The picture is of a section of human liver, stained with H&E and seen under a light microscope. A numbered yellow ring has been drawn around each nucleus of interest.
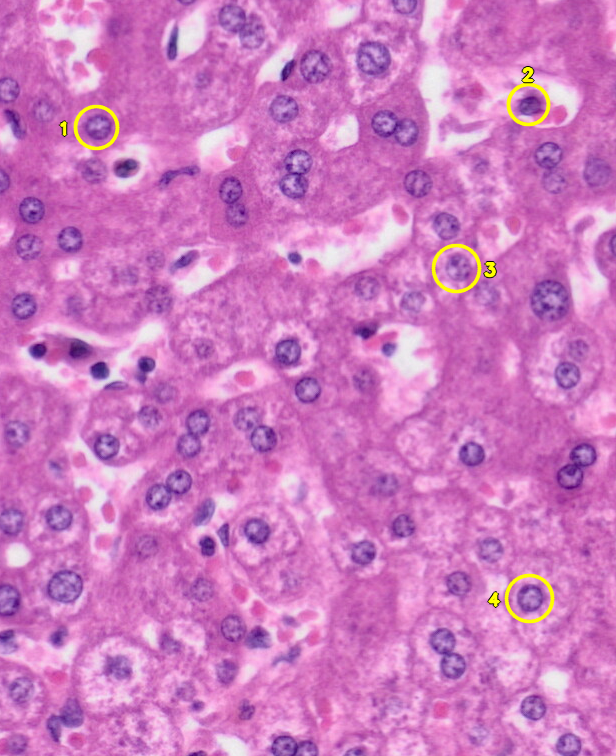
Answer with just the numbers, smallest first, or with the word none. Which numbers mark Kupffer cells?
2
